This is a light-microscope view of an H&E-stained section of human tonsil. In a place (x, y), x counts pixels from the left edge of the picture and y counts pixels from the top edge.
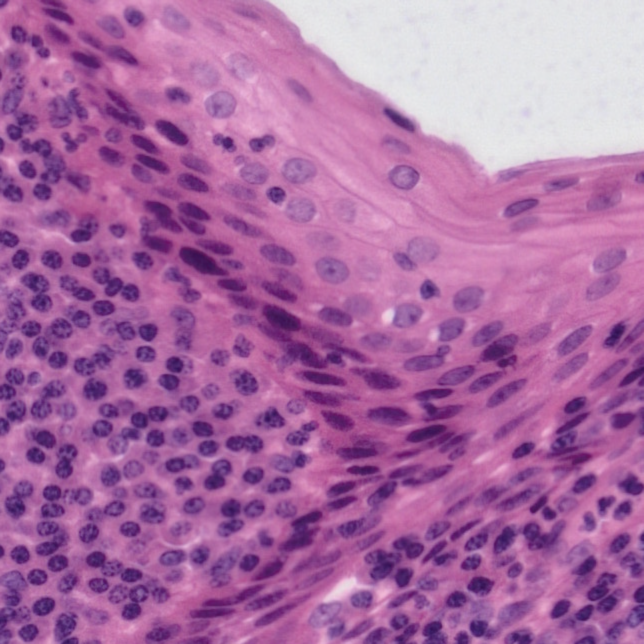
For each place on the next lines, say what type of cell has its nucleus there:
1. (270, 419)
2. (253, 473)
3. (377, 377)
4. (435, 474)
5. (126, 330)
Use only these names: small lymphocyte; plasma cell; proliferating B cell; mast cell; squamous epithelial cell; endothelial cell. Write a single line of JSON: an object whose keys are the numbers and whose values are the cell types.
{"1": "plasma cell", "2": "plasma cell", "3": "squamous epithelial cell", "4": "squamous epithelial cell", "5": "plasma cell"}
